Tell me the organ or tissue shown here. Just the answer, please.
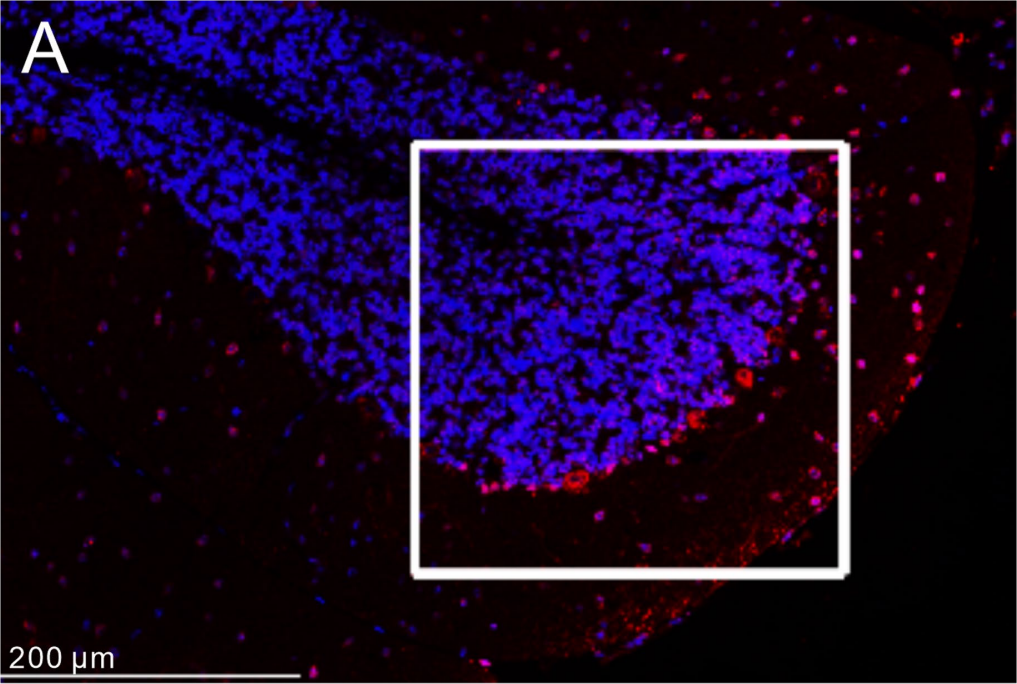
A: Cerebellar cortex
